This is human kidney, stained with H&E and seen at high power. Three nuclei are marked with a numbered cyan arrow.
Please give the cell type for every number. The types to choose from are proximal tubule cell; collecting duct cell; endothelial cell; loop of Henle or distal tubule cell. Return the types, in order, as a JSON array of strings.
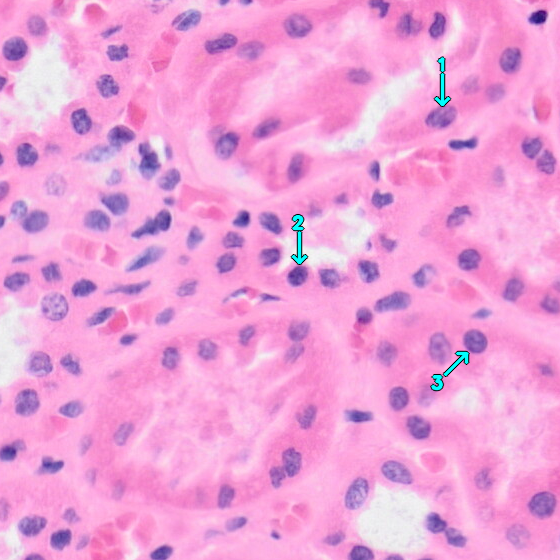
["proximal tubule cell", "loop of Henle or distal tubule cell", "proximal tubule cell"]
